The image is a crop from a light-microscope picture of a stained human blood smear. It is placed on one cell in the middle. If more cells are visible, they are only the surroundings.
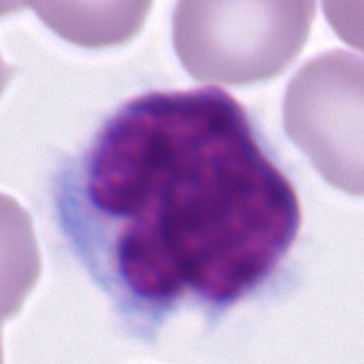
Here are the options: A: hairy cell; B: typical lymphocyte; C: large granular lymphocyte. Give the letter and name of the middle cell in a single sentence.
The central cell of the crop is a hairy cell, which makes A the correct option.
